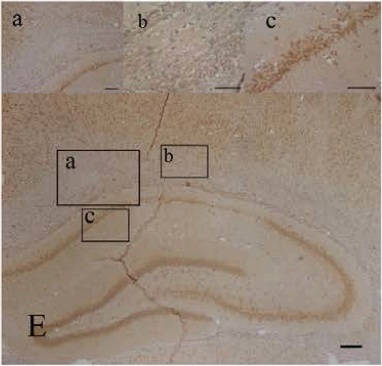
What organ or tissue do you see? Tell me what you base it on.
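A curved C-shaped band of densely packed cells sweeps across the panel. A second V-shaped band of packed cells lies nested within the curve. The cell bands are outlined by brown stain against paler surrounding tissue. On this evidence: hippocampus.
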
